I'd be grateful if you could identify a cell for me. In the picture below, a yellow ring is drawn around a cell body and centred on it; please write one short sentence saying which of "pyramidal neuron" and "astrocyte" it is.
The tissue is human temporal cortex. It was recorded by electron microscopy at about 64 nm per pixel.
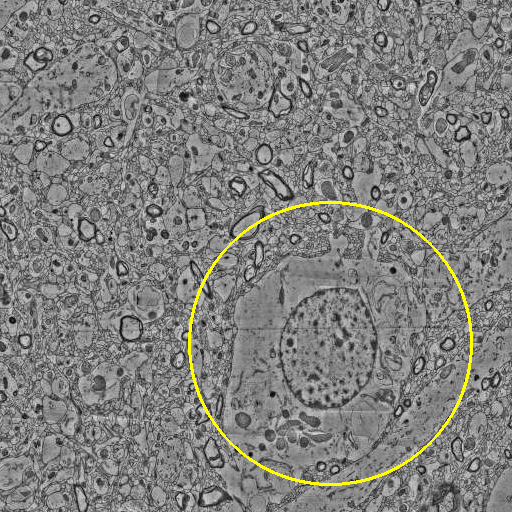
The cell under the ring's centre is an astrocyte.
